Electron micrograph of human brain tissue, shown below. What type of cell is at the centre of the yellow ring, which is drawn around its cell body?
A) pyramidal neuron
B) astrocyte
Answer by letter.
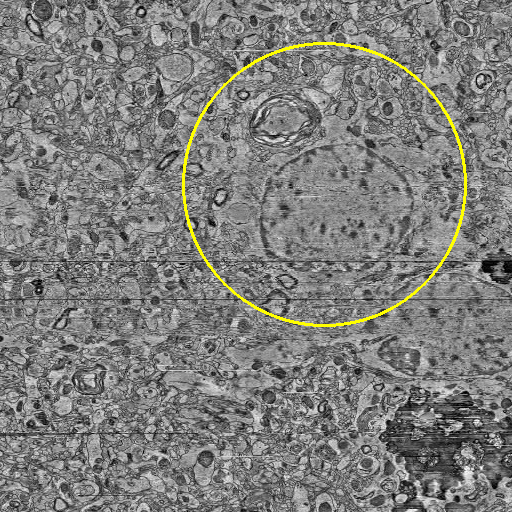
B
